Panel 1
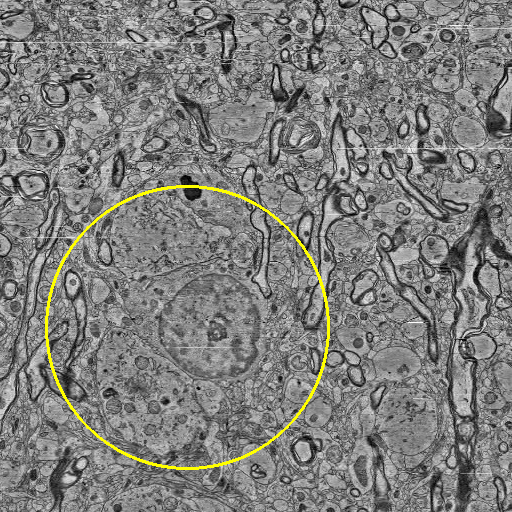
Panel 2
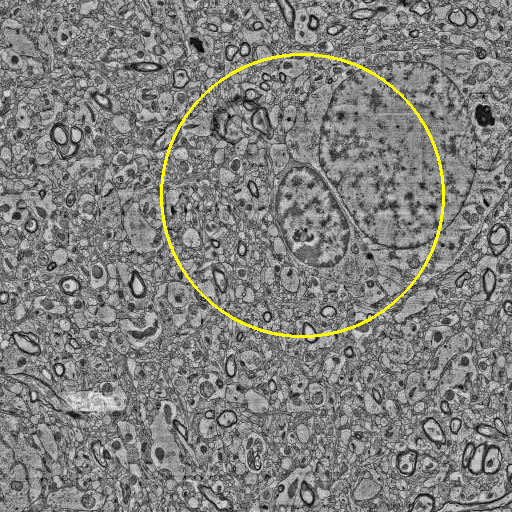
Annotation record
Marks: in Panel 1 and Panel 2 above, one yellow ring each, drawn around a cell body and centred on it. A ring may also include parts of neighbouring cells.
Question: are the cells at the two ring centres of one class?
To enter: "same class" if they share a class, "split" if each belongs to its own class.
same class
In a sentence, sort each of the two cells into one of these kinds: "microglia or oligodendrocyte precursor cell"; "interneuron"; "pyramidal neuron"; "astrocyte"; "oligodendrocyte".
Both pictures show an oligodendrocyte at the centre of the ring.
